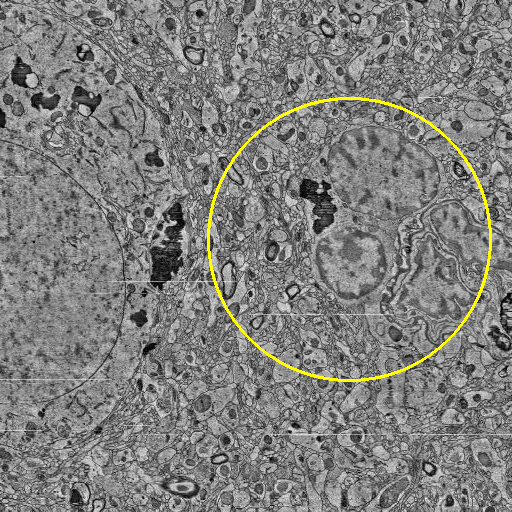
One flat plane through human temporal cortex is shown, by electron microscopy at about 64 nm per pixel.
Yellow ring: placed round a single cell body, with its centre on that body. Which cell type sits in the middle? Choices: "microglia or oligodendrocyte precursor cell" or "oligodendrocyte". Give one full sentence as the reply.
It is an oligodendrocyte whose cell body sits at the centre of the yellow ring.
